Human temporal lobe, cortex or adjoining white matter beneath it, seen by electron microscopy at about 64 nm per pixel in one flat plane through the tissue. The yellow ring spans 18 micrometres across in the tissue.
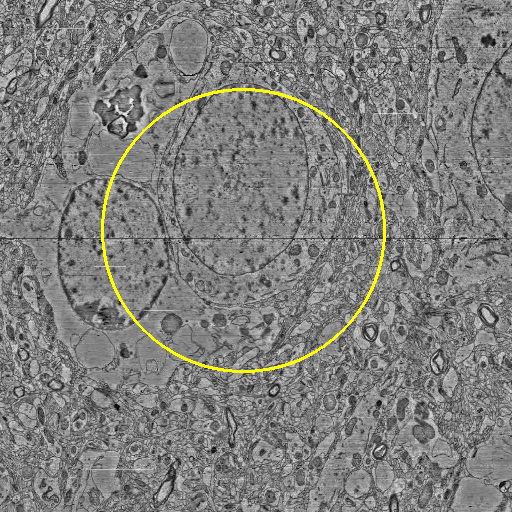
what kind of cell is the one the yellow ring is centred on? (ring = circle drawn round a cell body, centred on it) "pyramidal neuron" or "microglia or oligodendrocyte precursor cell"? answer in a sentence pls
The ring is drawn around a pyramidal neuron.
